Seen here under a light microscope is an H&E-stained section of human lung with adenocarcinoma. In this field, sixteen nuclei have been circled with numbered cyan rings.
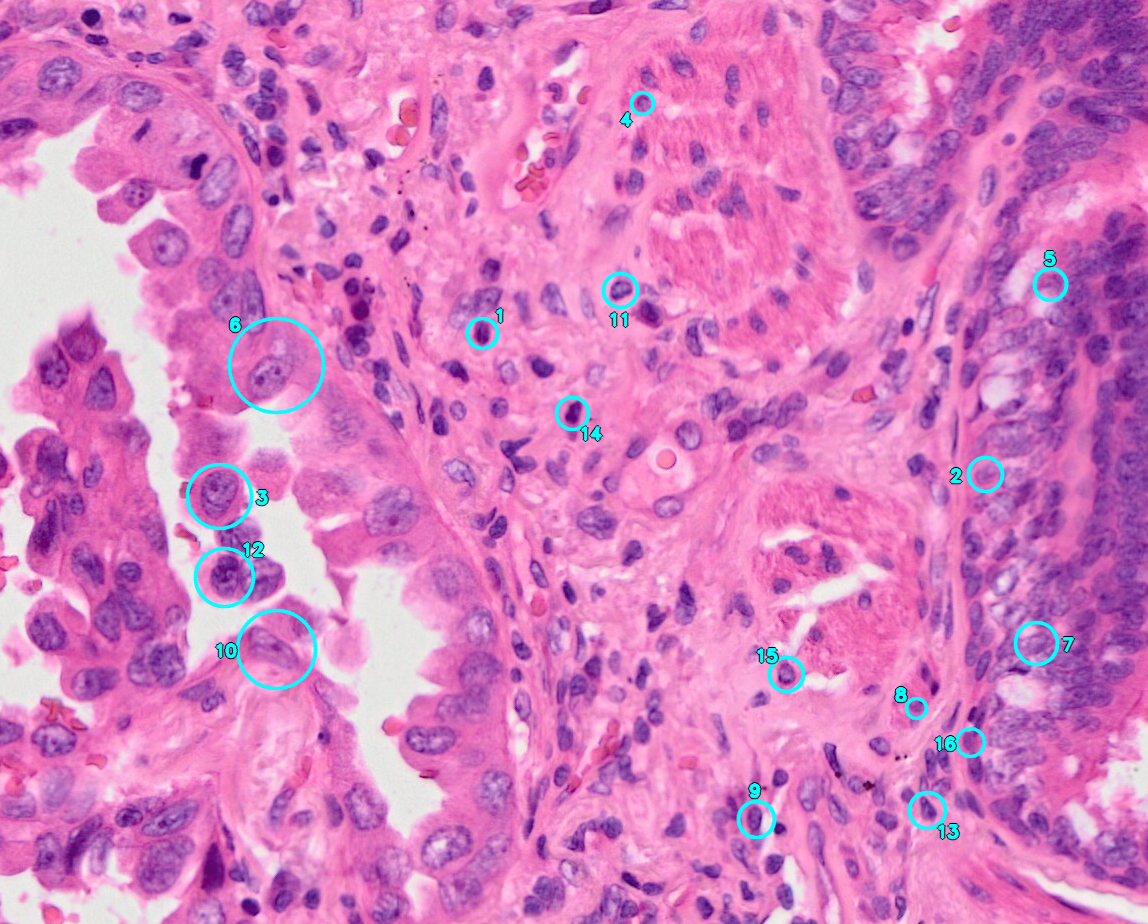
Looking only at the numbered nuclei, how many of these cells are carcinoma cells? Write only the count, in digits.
4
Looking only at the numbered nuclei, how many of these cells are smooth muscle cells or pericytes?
2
